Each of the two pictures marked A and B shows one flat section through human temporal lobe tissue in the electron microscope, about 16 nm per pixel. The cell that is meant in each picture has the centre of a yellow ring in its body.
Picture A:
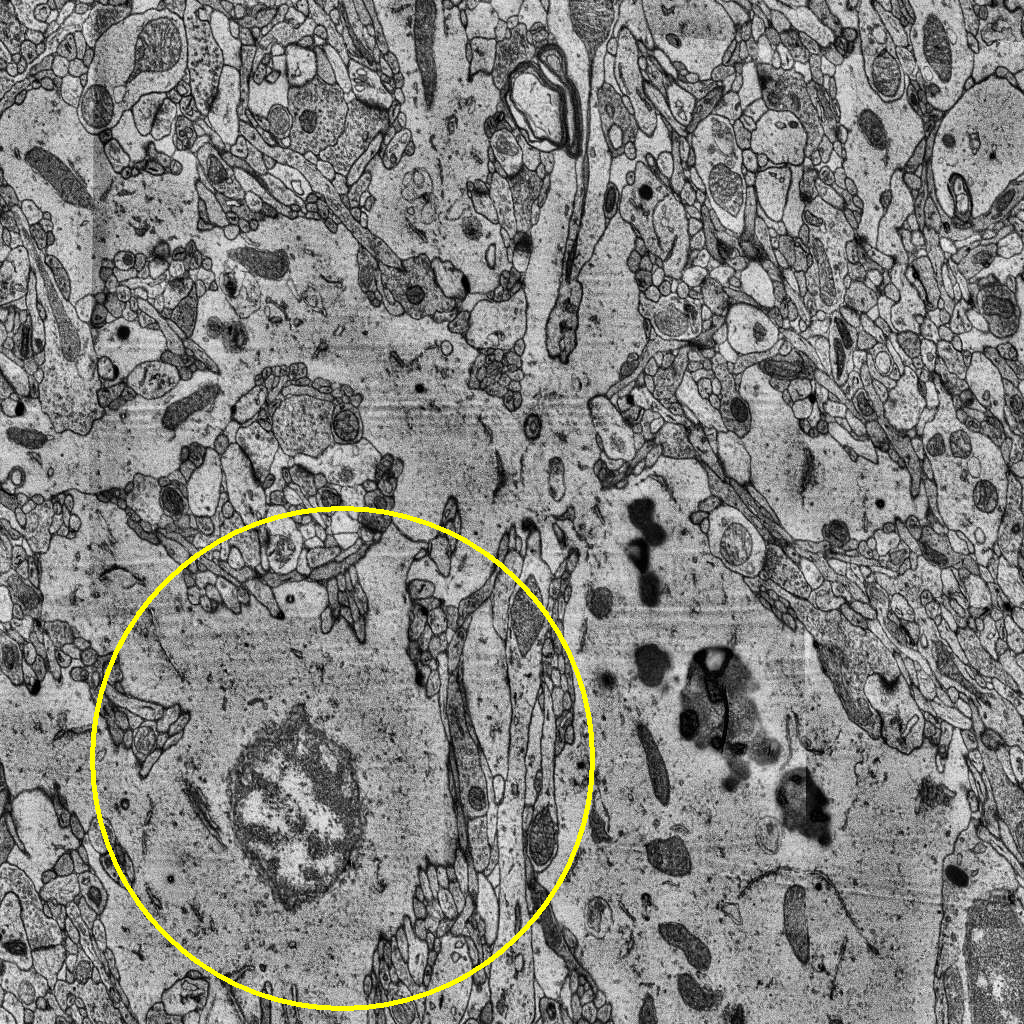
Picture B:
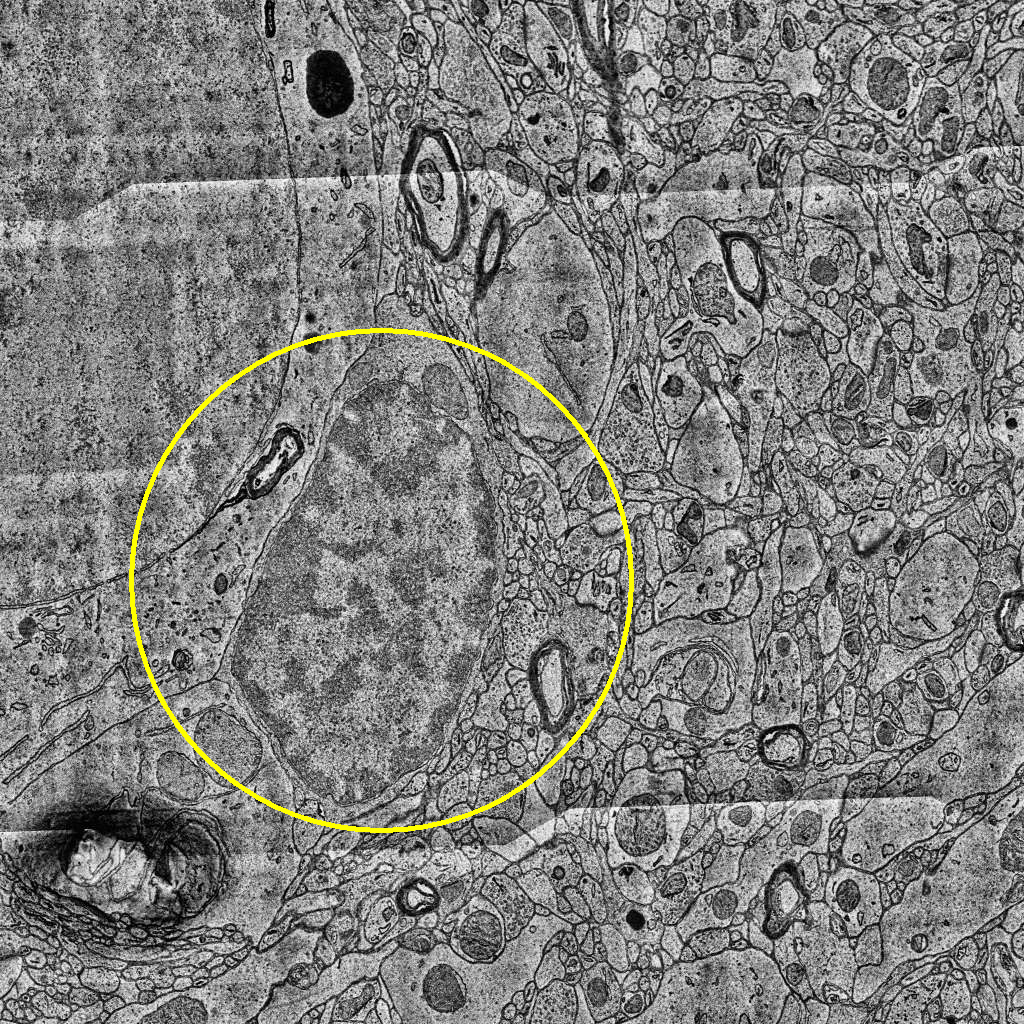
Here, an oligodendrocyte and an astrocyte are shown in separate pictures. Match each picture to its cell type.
The cell in picture A is an astrocyte, and the one in picture B is an oligodendrocyte.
